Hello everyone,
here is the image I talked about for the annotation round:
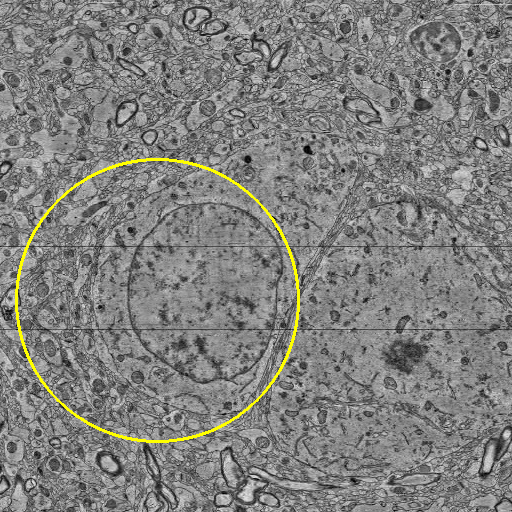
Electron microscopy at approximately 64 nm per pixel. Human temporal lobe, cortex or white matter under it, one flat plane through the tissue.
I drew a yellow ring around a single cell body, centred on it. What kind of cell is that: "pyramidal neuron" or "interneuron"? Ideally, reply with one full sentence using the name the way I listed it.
The cell your yellow ring is centred on is a pyramidal neuron, going by your list.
